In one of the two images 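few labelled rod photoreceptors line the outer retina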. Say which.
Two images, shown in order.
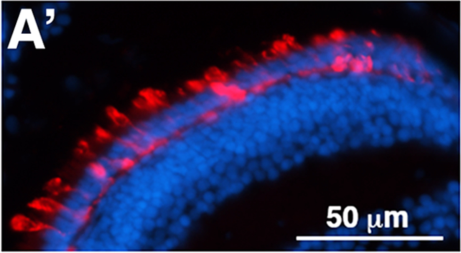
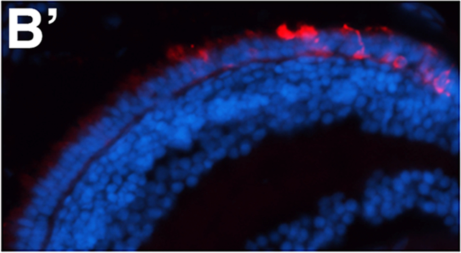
The second image.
